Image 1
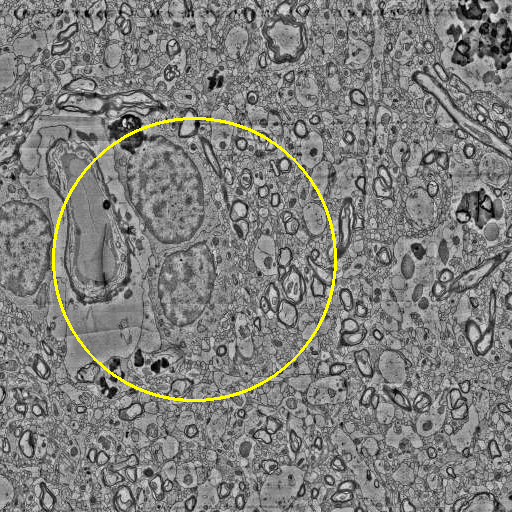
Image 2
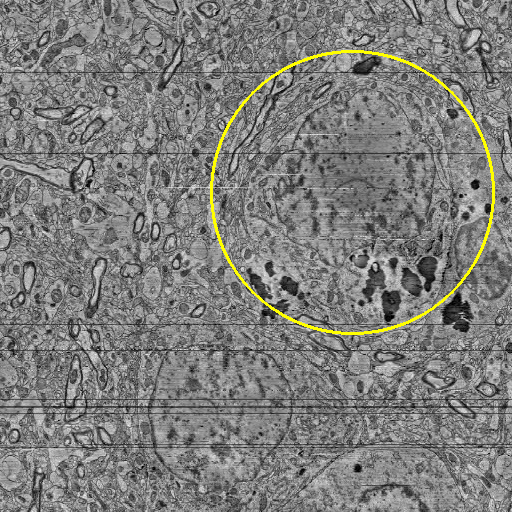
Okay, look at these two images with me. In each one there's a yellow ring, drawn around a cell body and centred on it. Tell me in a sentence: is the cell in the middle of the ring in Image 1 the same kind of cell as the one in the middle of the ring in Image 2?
No, they're two kinds of cell.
